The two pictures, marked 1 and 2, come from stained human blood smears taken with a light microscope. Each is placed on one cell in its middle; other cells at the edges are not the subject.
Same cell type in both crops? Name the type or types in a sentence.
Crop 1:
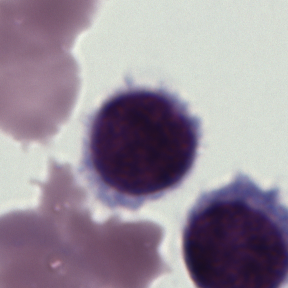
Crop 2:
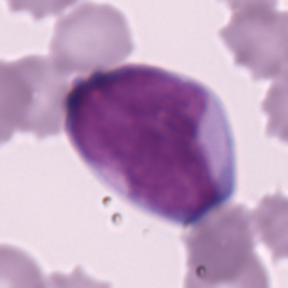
No, the cells are a hairy cell in crop 1 and a blast in crop 2.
